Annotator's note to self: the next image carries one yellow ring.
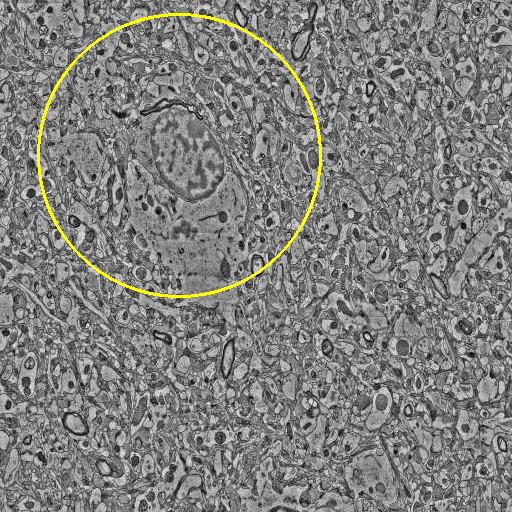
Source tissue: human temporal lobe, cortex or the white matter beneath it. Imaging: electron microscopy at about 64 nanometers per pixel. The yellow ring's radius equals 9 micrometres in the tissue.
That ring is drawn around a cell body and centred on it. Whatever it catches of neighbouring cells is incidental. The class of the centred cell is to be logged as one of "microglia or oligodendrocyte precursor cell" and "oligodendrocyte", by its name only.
oligodendrocyte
